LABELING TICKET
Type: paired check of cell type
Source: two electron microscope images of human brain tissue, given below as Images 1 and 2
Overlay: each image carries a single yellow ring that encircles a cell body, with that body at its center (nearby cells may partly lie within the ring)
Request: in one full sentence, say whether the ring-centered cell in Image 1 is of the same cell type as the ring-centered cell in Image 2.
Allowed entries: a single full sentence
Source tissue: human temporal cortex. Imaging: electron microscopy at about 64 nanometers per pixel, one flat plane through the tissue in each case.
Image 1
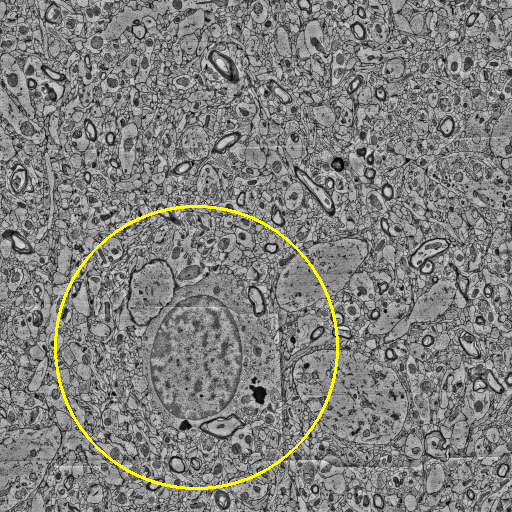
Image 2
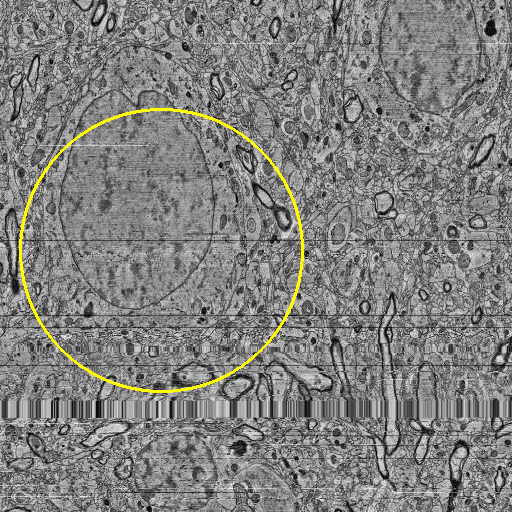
No, the cells centered in the rings of Image 1 and Image 2 are of two types.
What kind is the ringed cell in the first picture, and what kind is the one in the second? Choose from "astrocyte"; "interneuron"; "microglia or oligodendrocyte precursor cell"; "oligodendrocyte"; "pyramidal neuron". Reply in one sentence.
The first cell is an oligodendrocyte; the second is a pyramidal neuron.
